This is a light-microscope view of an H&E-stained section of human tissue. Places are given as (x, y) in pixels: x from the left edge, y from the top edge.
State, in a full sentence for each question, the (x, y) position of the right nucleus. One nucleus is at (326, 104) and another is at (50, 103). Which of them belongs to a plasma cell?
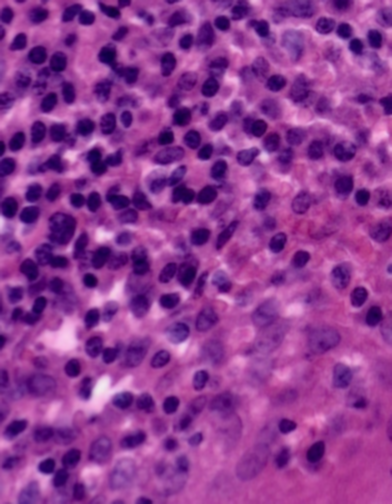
Identified as belonging to a plasma cell is the nucleus at (50, 103).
